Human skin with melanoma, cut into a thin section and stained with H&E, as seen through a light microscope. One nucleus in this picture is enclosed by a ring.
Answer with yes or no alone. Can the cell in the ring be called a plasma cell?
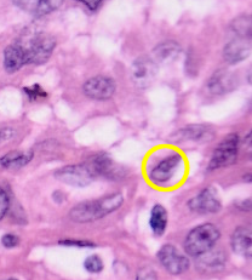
no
